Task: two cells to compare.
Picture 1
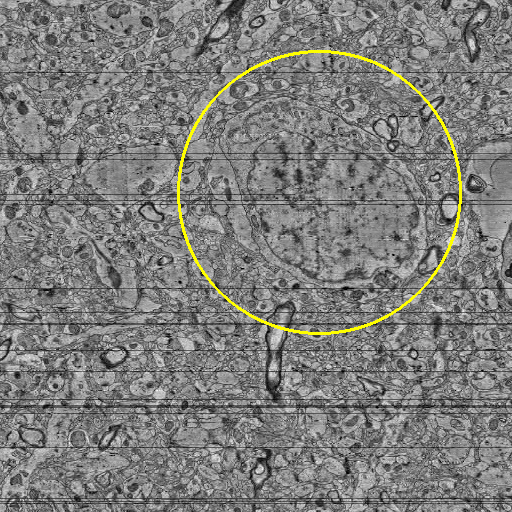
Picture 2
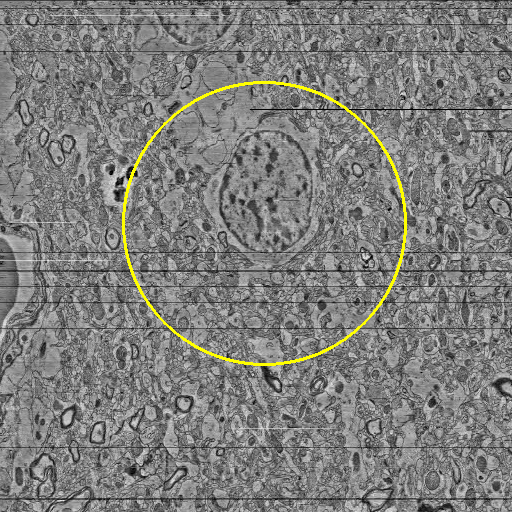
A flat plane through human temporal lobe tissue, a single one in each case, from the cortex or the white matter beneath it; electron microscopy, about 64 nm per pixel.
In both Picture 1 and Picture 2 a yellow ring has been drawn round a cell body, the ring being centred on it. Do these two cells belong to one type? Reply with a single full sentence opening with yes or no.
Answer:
No, the two cells at the ring centres in Picture 1 and Picture 2 are of two types.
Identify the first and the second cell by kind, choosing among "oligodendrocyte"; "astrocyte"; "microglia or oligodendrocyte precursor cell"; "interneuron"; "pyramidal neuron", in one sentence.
The one in the first picture is an interneuron, while the one in the second is an astrocyte.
